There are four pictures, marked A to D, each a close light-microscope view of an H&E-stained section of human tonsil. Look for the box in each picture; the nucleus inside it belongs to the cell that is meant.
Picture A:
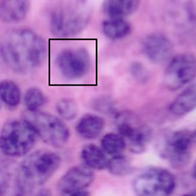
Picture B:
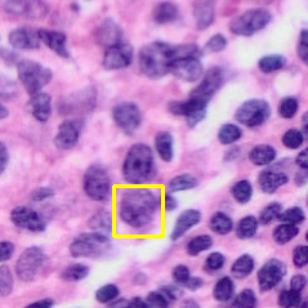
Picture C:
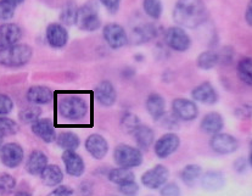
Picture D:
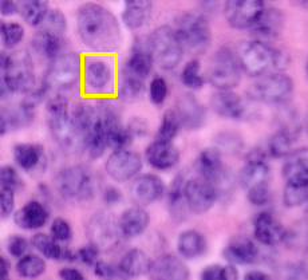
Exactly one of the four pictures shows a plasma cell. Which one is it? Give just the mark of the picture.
C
